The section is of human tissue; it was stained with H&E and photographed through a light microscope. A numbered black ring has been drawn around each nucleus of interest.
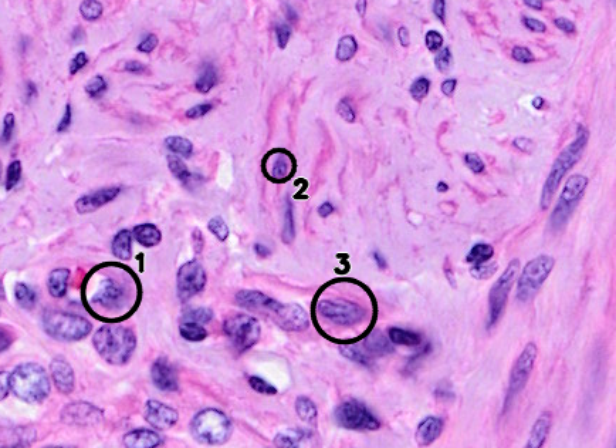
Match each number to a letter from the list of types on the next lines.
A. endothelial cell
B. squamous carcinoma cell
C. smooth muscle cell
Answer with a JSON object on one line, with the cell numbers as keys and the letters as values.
{"1": "A", "2": "C", "3": "A"}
